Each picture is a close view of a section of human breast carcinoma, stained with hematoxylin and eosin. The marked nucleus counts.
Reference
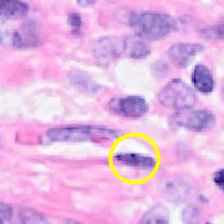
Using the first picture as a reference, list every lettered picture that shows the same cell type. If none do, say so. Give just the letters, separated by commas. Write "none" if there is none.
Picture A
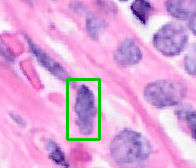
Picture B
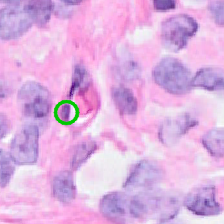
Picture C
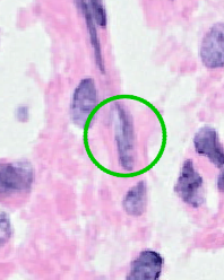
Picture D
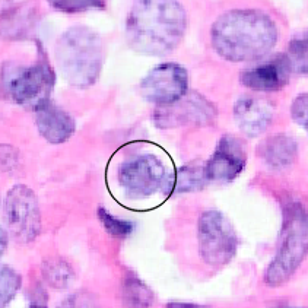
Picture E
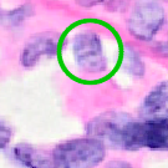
A, B, C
